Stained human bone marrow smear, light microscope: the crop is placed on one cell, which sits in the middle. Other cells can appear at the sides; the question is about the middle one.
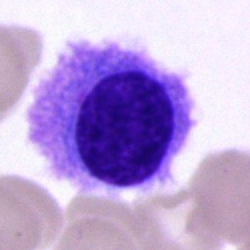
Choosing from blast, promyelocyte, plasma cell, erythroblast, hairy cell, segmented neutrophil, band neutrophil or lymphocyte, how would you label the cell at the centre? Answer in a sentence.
This crop has a hairy cell at its centre.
